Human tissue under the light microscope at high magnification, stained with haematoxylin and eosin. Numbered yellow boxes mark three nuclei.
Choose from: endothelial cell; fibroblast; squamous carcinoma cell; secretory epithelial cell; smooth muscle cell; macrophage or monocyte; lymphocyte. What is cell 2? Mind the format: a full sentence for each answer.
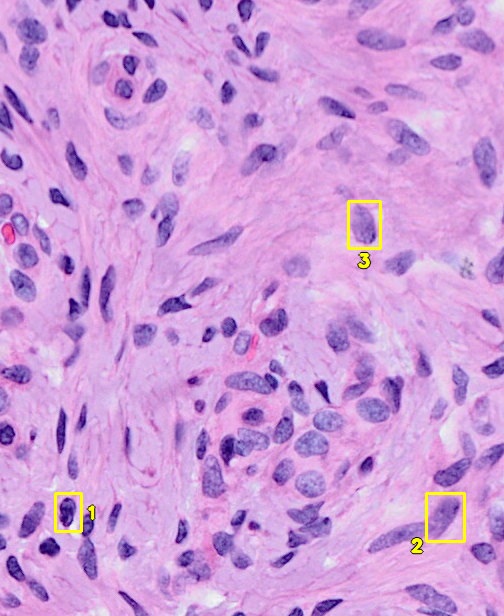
The nucleus labelled 2 belongs to a fibroblast.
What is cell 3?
That cell with number 3 is a fibroblast.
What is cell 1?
The correct label for cell 1 is a lymphocyte.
